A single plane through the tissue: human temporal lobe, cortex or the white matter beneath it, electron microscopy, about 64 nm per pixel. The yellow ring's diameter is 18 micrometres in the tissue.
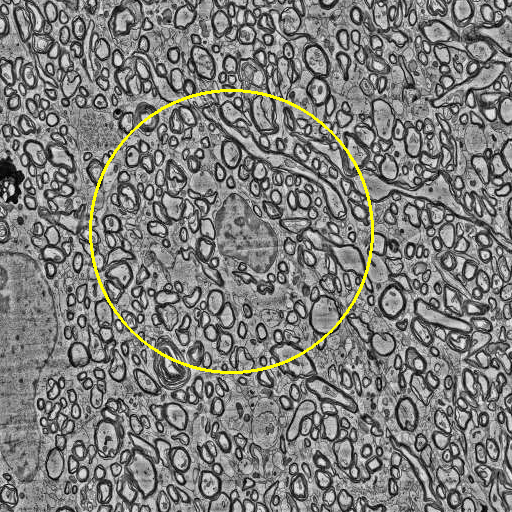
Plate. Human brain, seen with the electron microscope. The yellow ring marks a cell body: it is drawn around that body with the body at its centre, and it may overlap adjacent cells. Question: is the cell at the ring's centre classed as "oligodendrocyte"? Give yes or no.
no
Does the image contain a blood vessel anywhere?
No, there is no blood vessel.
